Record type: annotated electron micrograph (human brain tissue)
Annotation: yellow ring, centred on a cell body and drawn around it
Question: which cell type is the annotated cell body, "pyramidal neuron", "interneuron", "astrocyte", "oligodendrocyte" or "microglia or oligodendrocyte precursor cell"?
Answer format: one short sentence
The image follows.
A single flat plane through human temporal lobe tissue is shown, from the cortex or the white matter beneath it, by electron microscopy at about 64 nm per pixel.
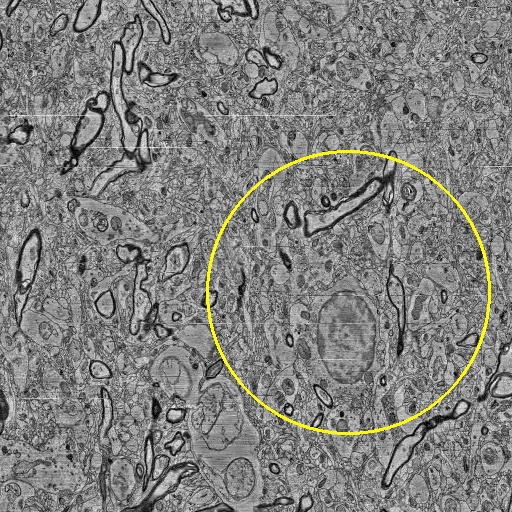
The annotated cell body is that of an oligodendrocyte.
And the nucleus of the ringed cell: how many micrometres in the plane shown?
The nucleus comes to approximately 6 by 4 micrometres and is clearly longer than it is wide in this plane.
